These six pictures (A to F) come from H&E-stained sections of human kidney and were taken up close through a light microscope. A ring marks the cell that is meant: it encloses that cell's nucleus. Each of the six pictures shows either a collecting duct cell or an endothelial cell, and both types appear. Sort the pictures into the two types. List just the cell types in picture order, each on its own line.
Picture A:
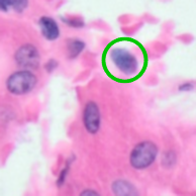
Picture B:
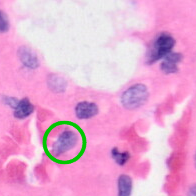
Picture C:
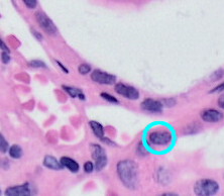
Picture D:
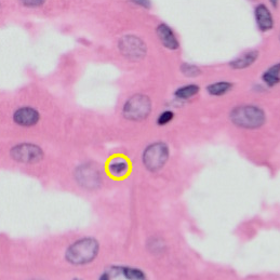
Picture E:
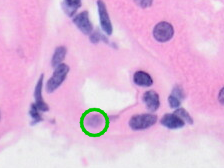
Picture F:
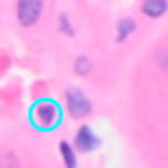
endothelial cell
endothelial cell
collecting duct cell
endothelial cell
collecting duct cell
endothelial cell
